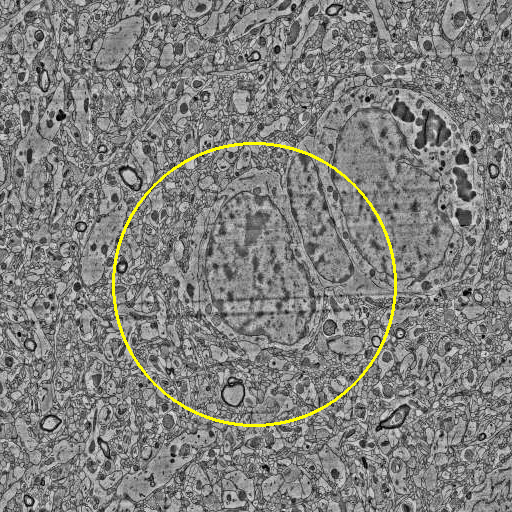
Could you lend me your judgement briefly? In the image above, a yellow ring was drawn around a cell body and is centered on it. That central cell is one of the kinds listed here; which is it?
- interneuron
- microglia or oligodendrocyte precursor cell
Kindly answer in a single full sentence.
Going by the list, an interneuron is the kind at the ring's center in the picture.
